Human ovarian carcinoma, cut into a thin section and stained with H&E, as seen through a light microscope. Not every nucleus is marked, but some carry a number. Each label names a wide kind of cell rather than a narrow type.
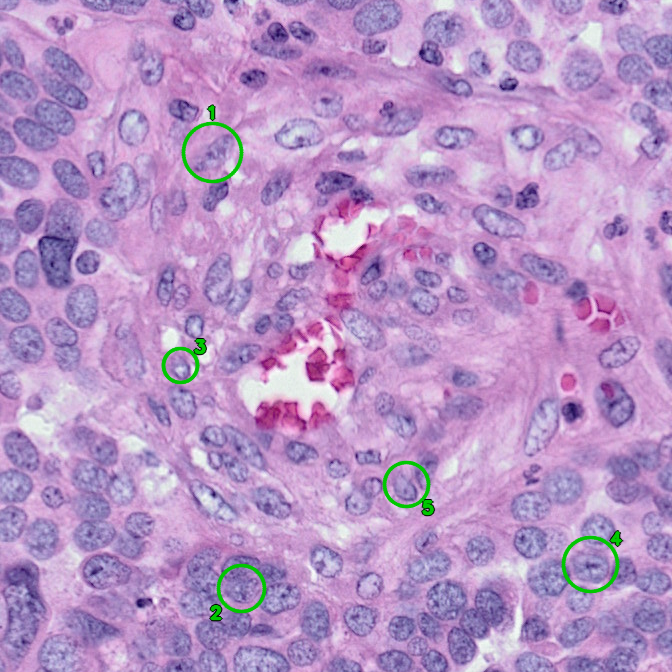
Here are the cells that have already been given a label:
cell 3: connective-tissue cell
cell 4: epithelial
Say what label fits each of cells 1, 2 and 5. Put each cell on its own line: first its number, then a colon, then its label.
1: connective-tissue cell
2: epithelial
5: connective-tissue cell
